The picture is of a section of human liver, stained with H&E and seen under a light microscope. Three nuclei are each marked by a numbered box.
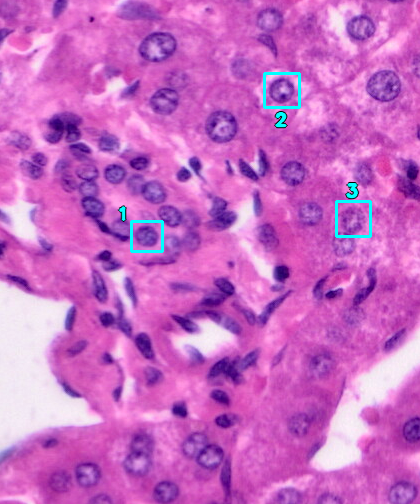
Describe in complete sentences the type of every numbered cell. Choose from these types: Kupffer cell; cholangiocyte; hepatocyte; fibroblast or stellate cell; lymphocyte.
Cell 1 is a cholangiocyte. Cells 2 and 3 are hepatocytes.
